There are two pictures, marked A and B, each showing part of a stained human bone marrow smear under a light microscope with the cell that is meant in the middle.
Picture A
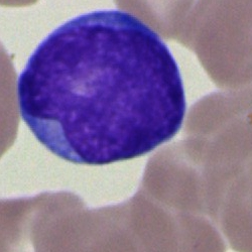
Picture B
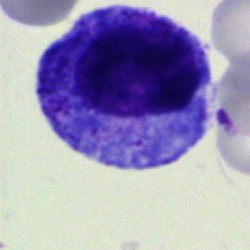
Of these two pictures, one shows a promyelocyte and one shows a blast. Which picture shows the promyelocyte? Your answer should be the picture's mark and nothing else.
B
